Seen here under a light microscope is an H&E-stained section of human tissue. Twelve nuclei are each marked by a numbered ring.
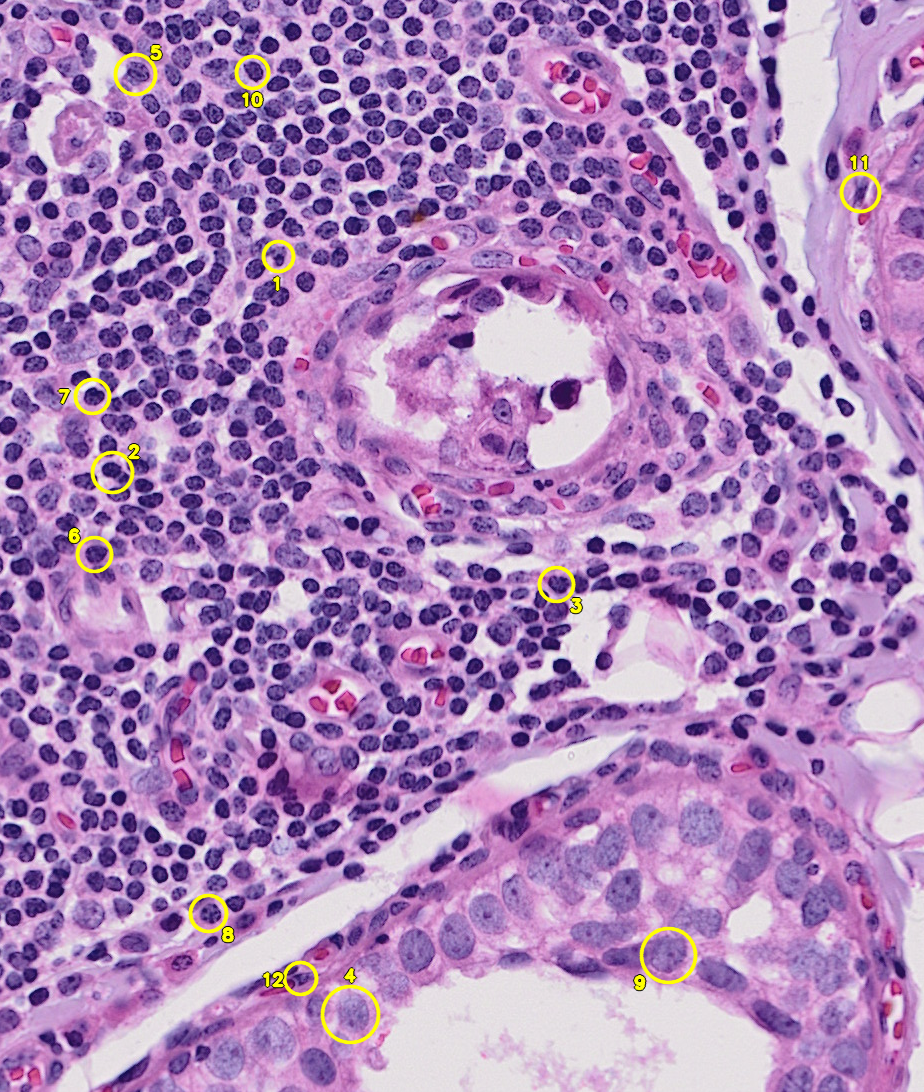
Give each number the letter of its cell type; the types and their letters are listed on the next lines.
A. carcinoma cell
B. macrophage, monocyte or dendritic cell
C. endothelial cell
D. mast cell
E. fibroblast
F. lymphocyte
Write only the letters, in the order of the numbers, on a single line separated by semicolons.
F; F; F; A; F; F; F; D; A; F; C; C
